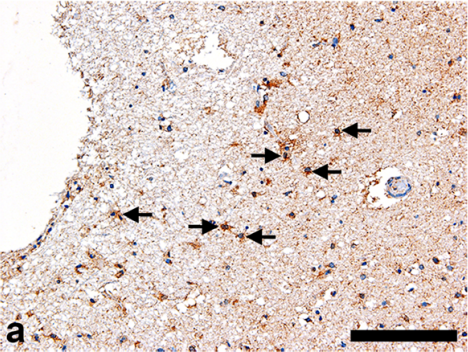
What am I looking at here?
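This is a section of brain tissue at the edge of an open space on the left, with scattered cells lying in a pale, loosely textured background. Most nuclei are small, round and blue, spread singly through the tissue. Among them, the arrows point to cells whose bodies are stained a strong brown, some rounded, others irregular with short brown processes reaching into the surrounding tissue. The background is finely vacuolated and patchy, with small holes, suggesting loosened tissue. Near the middle right a small vessel with a thickened round wall sits in a clear space.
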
